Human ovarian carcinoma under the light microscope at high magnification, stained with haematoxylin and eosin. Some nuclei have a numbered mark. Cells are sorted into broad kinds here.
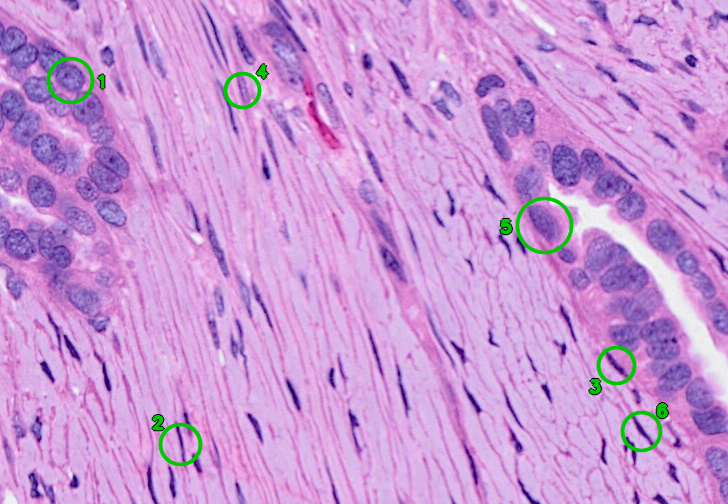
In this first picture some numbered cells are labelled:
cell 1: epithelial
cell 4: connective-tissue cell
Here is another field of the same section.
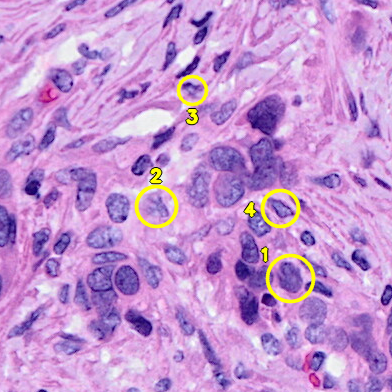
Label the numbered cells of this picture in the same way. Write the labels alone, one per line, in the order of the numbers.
epithelial
connective-tissue cell
connective-tissue cell
connective-tissue cell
